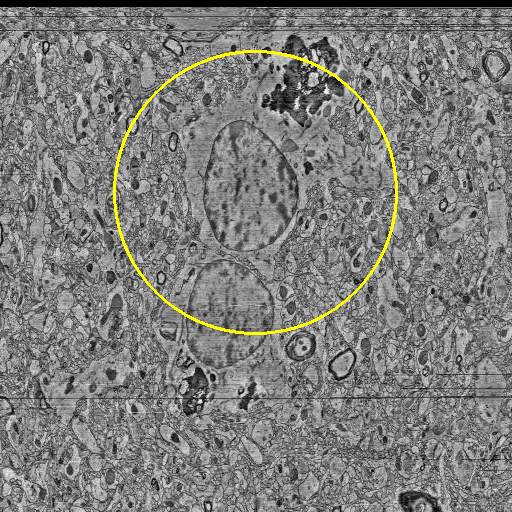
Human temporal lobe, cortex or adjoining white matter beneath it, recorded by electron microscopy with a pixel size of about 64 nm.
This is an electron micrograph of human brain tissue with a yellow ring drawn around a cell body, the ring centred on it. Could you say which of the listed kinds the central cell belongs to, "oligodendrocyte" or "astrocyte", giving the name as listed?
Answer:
astrocyte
